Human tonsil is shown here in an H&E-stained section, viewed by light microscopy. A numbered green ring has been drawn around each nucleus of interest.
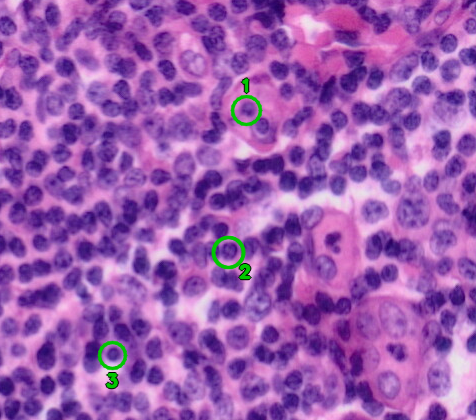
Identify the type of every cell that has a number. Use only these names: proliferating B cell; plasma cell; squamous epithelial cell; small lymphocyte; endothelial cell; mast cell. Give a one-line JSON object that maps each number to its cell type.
{"1": "endothelial cell", "2": "small lymphocyte", "3": "small lymphocyte"}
